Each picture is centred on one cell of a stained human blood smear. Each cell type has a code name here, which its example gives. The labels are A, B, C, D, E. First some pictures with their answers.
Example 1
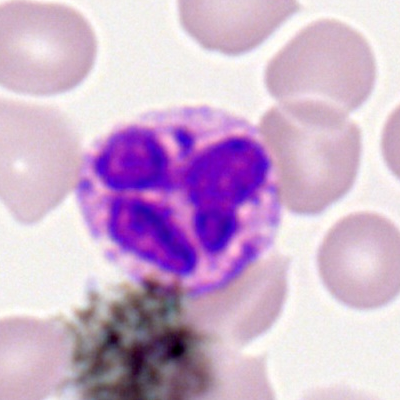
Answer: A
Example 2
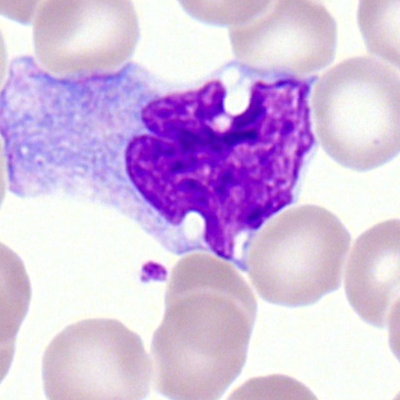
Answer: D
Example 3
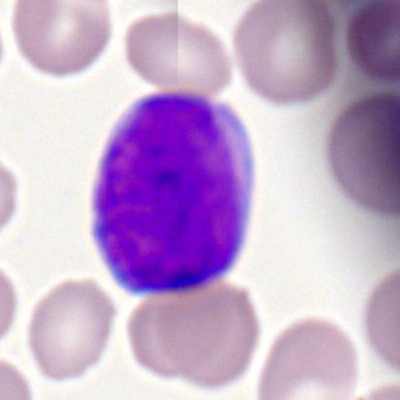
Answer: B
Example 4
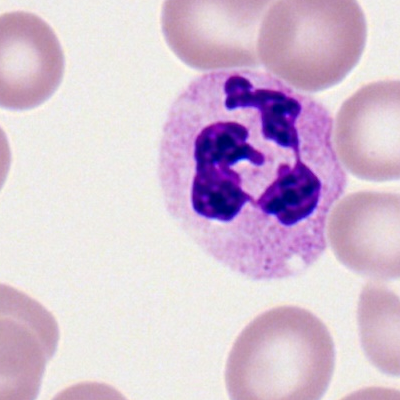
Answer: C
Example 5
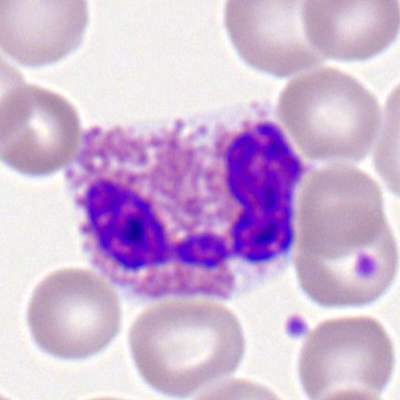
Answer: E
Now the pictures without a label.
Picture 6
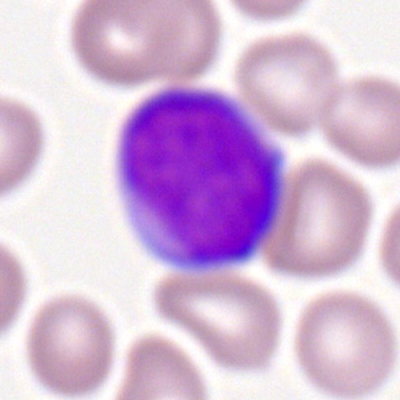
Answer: B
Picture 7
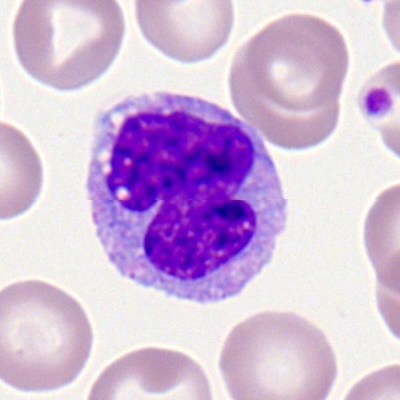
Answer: D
